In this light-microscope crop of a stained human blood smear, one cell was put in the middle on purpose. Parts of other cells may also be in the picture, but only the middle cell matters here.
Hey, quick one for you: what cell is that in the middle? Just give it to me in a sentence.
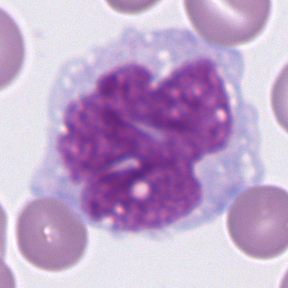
In this crop, the cell at the very middle is a monocyte.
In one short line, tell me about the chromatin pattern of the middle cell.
The chromatin remains finely textured, with no coarse clumps to speak of.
